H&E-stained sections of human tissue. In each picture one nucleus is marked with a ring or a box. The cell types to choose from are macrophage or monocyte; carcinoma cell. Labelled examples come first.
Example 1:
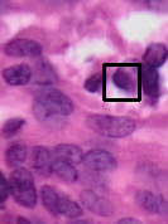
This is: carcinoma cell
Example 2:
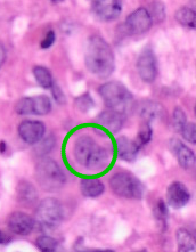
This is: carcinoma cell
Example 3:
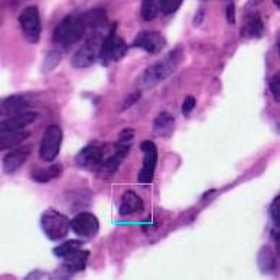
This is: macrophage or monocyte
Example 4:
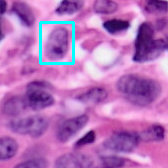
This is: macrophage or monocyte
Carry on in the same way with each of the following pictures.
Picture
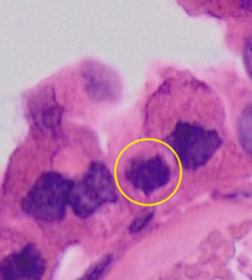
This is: carcinoma cell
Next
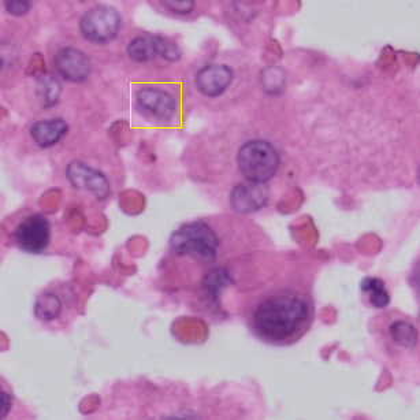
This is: macrophage or monocyte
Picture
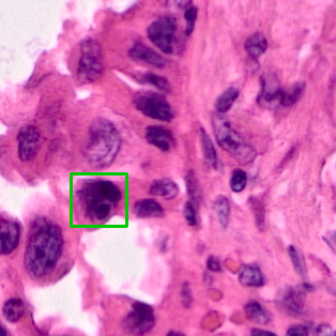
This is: carcinoma cell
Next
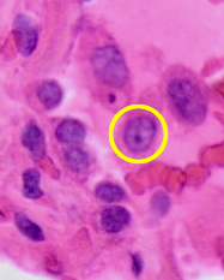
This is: macrophage or monocyte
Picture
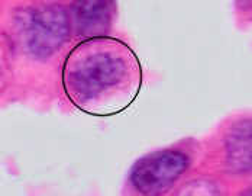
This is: carcinoma cell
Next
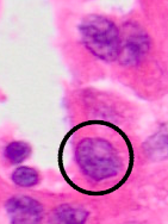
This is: carcinoma cell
